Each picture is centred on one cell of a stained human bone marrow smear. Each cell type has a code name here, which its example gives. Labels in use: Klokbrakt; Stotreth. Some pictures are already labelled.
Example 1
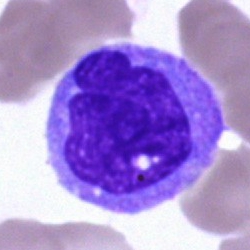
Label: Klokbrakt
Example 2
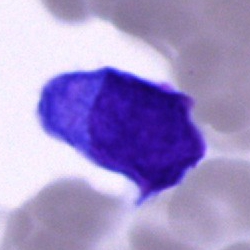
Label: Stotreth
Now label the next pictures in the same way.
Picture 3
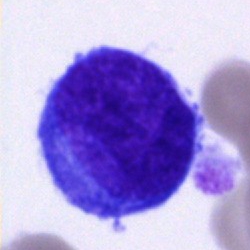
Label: Stotreth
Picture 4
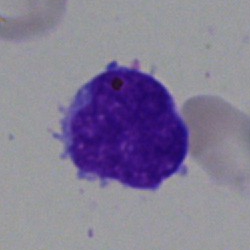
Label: Stotreth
